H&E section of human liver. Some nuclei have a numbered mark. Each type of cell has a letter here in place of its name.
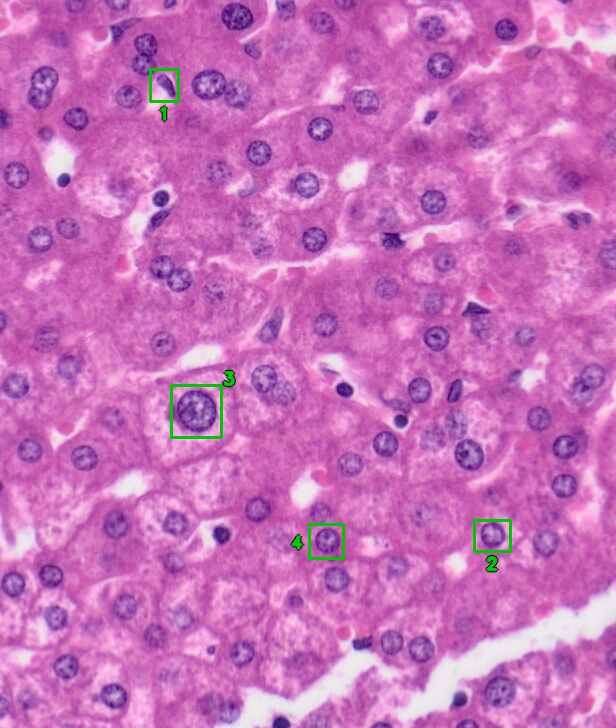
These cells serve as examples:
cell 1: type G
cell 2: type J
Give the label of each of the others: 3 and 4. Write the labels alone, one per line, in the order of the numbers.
type J
type J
